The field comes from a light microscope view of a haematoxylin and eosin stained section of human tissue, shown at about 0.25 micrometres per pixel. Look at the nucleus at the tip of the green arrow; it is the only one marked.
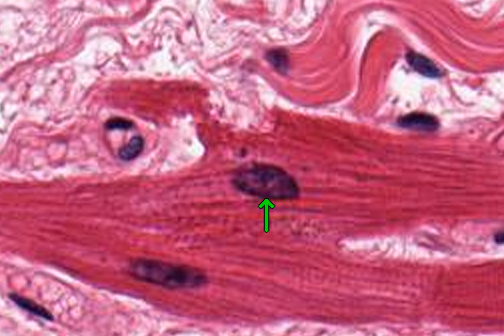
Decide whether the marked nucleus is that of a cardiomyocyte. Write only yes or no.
yes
